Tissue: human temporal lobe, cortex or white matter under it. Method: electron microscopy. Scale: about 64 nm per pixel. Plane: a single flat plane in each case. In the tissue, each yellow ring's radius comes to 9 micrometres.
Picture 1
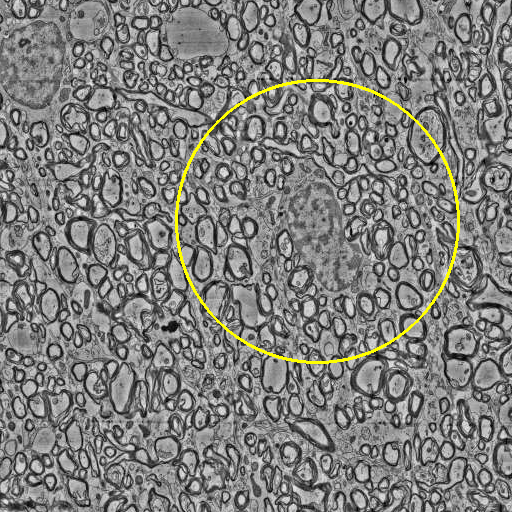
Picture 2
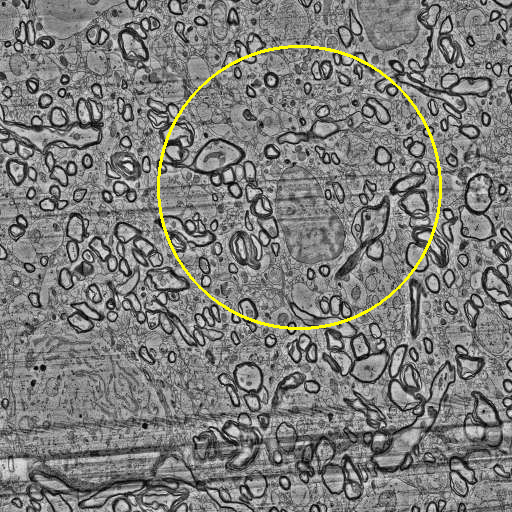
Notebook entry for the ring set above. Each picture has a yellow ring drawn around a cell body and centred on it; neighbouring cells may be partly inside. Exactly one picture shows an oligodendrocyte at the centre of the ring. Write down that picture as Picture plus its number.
Picture 1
